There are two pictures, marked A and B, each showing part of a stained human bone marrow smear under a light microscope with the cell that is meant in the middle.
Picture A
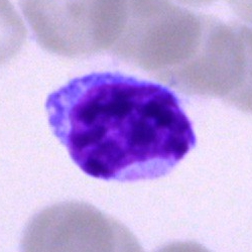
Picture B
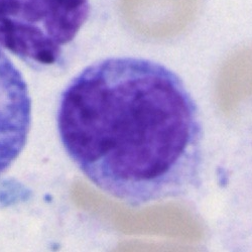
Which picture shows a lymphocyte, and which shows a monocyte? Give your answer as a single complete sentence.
In picture A the cell is a lymphocyte; in picture B, a monocyte.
